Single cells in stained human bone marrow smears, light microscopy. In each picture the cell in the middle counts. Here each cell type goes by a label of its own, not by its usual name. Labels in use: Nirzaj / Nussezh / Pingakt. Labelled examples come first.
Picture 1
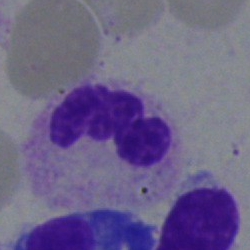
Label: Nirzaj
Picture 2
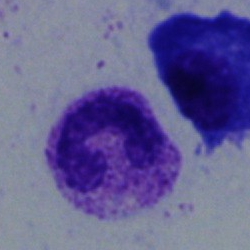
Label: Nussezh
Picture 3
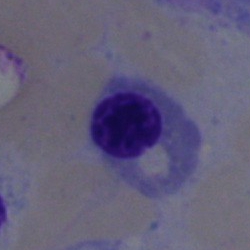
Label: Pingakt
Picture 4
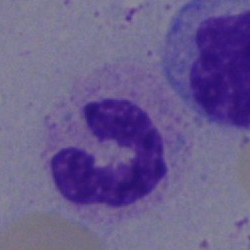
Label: Nirzaj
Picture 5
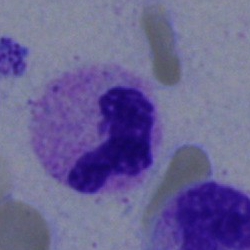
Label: Nirzaj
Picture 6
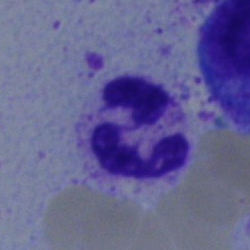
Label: Nirzaj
